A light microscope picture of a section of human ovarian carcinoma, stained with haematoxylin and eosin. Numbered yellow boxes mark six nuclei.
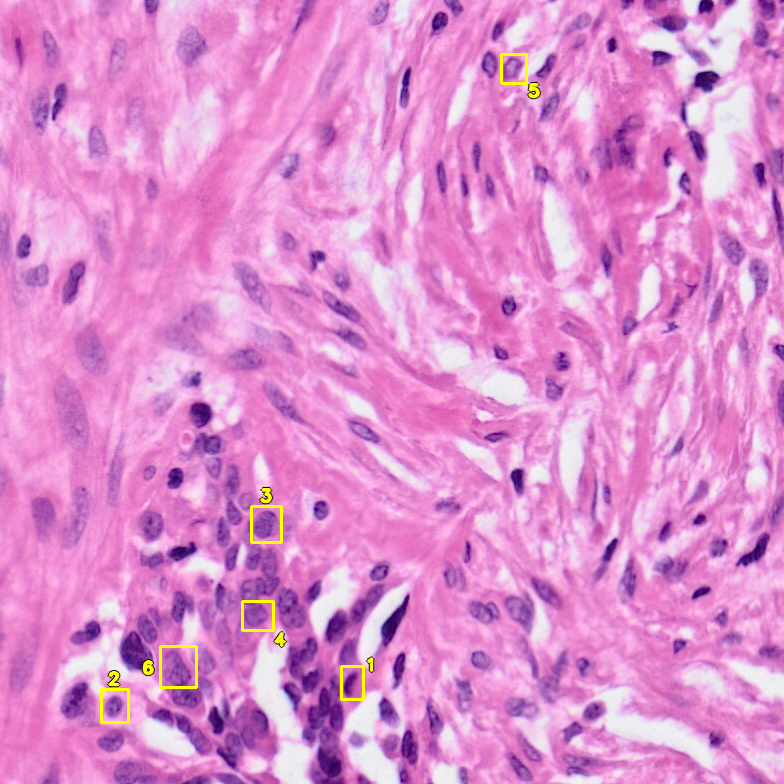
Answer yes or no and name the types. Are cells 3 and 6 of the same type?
Yes, cells 3 and 6 are, both of them, carcinoma cells.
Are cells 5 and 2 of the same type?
No, classify cell 5 as a fibroblast and cell 2 as a macrophage or monocyte.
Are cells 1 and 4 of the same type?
Yes, both of cells 1 and 4 are carcinoma cells.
